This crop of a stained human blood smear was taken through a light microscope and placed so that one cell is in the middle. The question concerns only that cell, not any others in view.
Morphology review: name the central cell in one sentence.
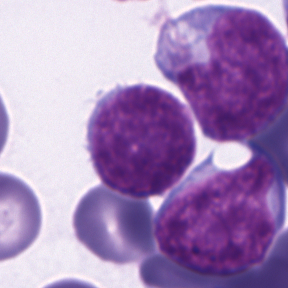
Located at the centre of the crop is a blast.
